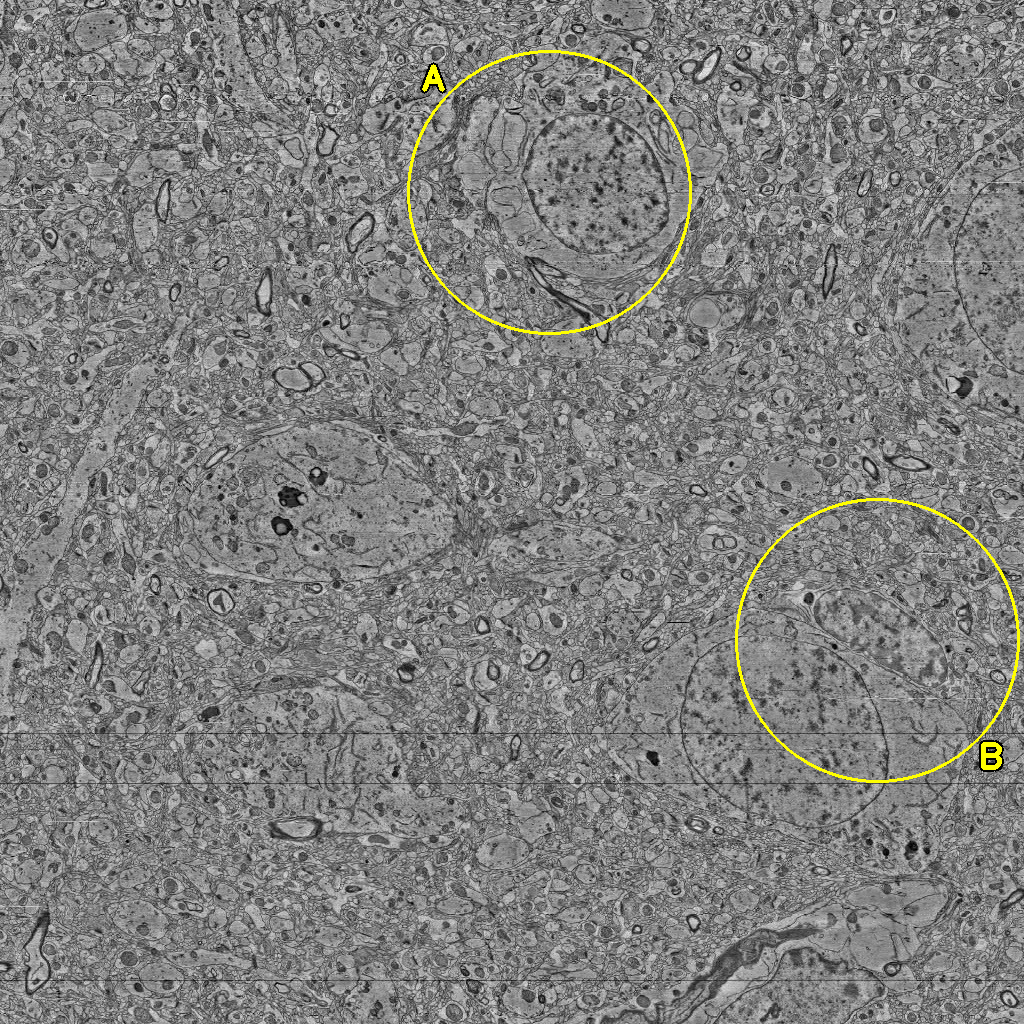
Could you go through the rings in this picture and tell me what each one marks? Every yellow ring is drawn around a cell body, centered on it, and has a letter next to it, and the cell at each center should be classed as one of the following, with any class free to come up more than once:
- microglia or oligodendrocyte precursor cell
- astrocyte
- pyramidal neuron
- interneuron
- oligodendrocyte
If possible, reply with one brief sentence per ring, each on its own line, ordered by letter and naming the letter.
The cell centered in ring A is an astrocyte.
The cell centered in ring B is a microglial cell or oligodendrocyte precursor cell.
